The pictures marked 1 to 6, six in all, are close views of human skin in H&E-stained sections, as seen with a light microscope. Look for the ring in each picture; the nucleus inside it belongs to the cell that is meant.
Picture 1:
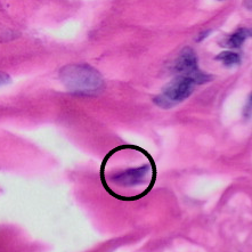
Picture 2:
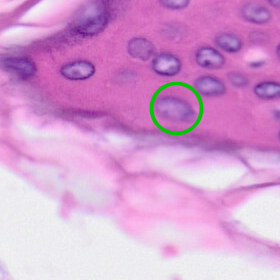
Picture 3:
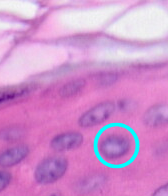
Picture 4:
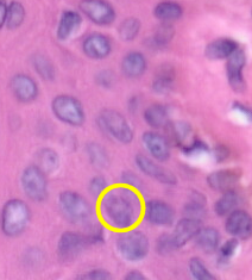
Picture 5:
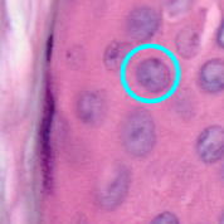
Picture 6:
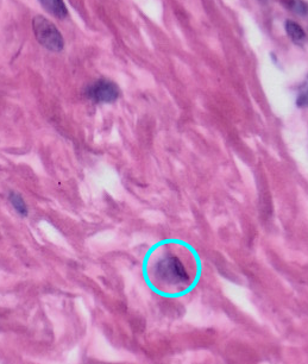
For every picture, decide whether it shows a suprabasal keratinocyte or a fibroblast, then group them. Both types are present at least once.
1: fibroblast
2: suprabasal keratinocyte
3: suprabasal keratinocyte
4: suprabasal keratinocyte
5: suprabasal keratinocyte
6: fibroblast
